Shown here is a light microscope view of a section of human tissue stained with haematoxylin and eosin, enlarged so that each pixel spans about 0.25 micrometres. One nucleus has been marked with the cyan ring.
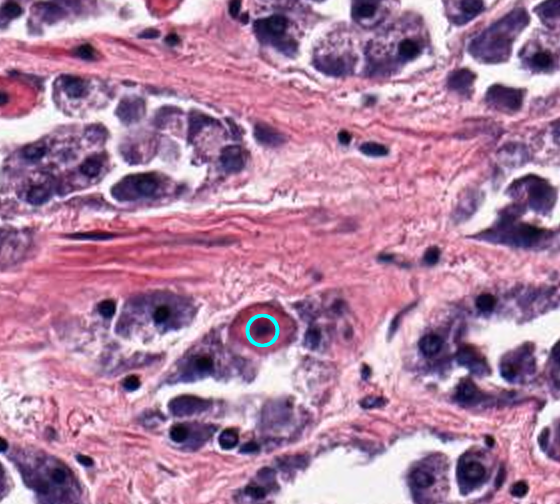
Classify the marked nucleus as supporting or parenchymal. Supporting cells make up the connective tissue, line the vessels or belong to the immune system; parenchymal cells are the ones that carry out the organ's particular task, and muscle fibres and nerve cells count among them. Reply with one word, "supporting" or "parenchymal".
parenchymal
